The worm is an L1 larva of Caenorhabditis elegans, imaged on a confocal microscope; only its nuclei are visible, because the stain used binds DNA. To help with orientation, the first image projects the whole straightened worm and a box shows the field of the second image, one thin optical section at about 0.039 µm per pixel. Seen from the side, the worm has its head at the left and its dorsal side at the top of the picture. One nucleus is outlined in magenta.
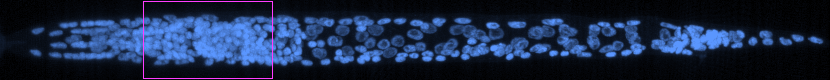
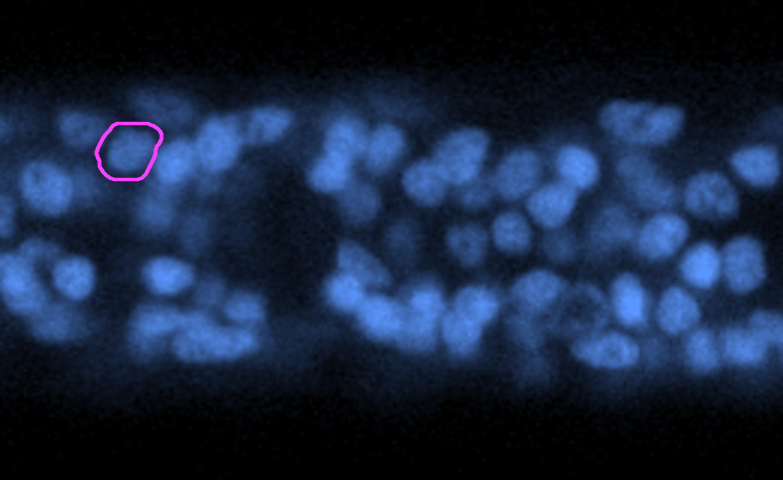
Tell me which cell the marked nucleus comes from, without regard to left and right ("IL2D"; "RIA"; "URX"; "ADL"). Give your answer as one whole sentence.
The marked cell is IL2D, a neuron.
